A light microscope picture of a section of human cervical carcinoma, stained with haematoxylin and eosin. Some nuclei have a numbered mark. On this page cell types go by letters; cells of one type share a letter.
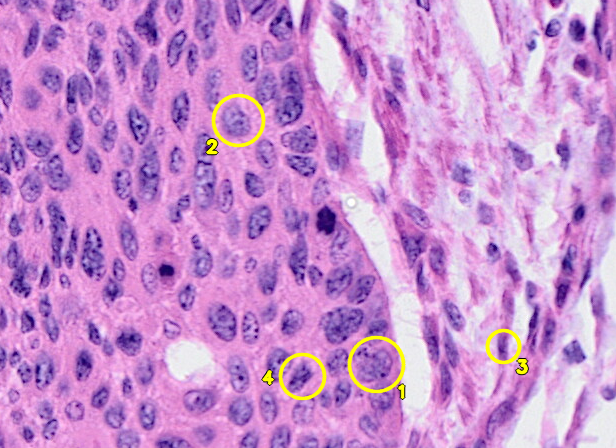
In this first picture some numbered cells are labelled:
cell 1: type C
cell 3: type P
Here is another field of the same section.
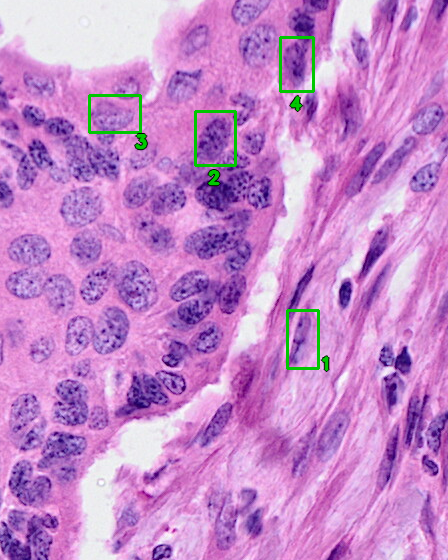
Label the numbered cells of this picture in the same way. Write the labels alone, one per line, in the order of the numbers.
type P
type C
type C
type C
